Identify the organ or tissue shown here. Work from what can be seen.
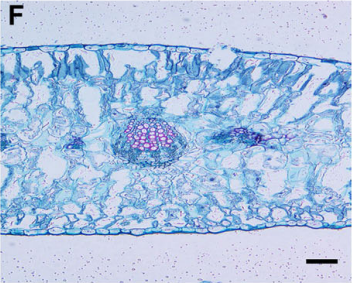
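Epidermis on both flat surfaces of a thin blade. Mesophyll of irregular cells with air spaces between the epidermal layers. A small vascular bundle with red-stained xylem in the middle. That points to this answer: leaf.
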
